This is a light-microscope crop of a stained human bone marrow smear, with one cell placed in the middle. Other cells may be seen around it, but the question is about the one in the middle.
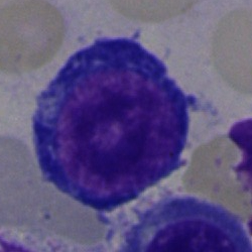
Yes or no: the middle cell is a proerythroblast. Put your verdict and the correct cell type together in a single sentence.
Yes, within this crop, the central cell is a proerythroblast.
